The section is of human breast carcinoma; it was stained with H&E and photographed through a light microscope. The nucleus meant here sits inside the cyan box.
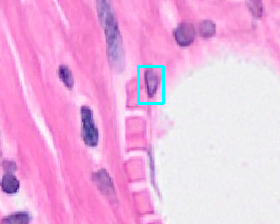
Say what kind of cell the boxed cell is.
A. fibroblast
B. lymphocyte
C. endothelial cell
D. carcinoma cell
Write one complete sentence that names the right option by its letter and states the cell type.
The correct response is option C: the boxed cell is an endothelial cell.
